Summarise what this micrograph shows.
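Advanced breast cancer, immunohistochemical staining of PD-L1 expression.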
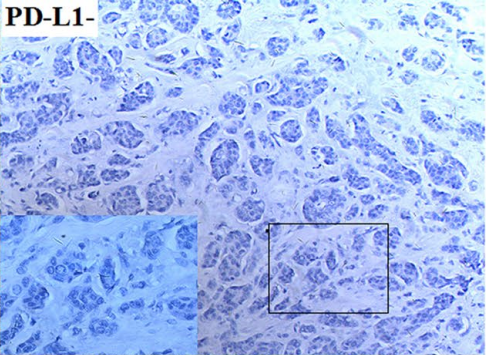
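The tumor cells have blue, rounded nuclei and pale bluish cytoplasm, and there is essentially no brown stain anywhere in the field. The nests are separated by wide pale areas of stroma with scattered, thin, elongated nuclei. The enlarged inset at the lower left shows several clusters of tumor cells more closely: groups of blue nuclei packed together, with no brown at their borders, surrounded by pale stroma.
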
